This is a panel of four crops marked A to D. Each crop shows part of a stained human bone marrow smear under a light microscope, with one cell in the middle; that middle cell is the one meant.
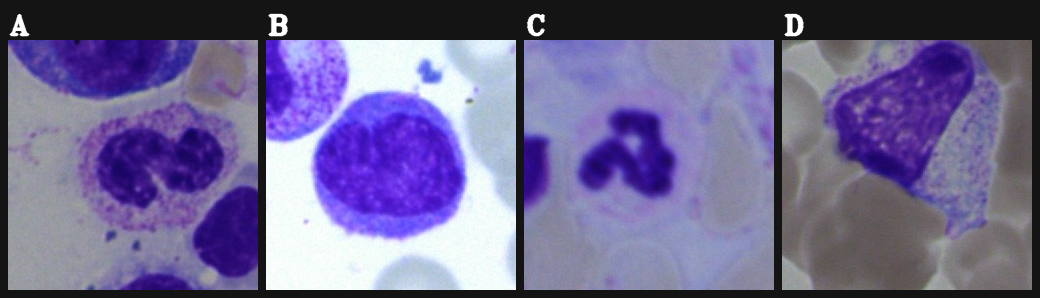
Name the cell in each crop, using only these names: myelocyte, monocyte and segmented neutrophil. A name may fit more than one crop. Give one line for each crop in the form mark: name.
A: segmented neutrophil
B: monocyte
C: segmented neutrophil
D: myelocyte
